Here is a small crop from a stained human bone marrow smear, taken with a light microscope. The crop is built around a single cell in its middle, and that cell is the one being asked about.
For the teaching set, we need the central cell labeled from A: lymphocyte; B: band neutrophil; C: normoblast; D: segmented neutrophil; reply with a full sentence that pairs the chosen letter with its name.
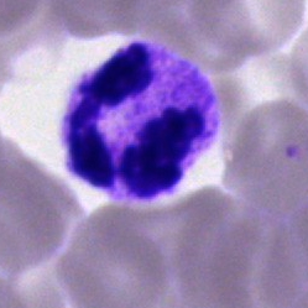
At the centre of the crop lies a segmented neutrophil, which makes option D correct.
